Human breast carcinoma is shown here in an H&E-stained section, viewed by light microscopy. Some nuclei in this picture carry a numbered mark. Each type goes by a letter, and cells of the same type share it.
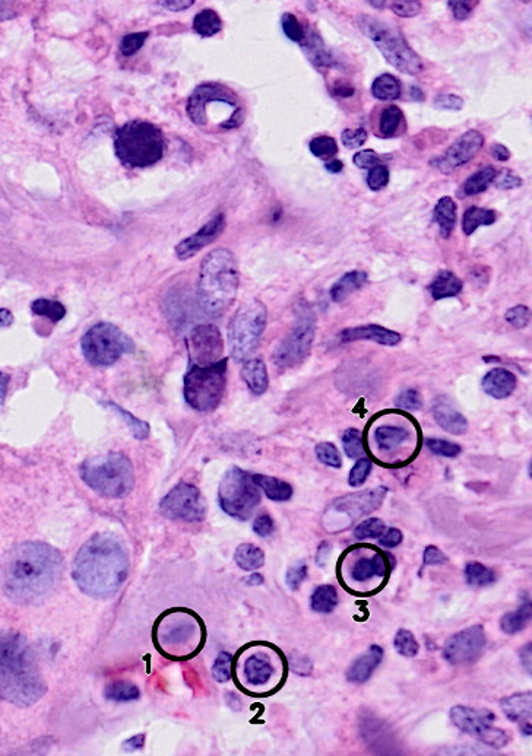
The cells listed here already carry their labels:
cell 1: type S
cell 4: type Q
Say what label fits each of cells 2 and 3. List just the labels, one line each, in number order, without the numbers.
type Q
type Q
